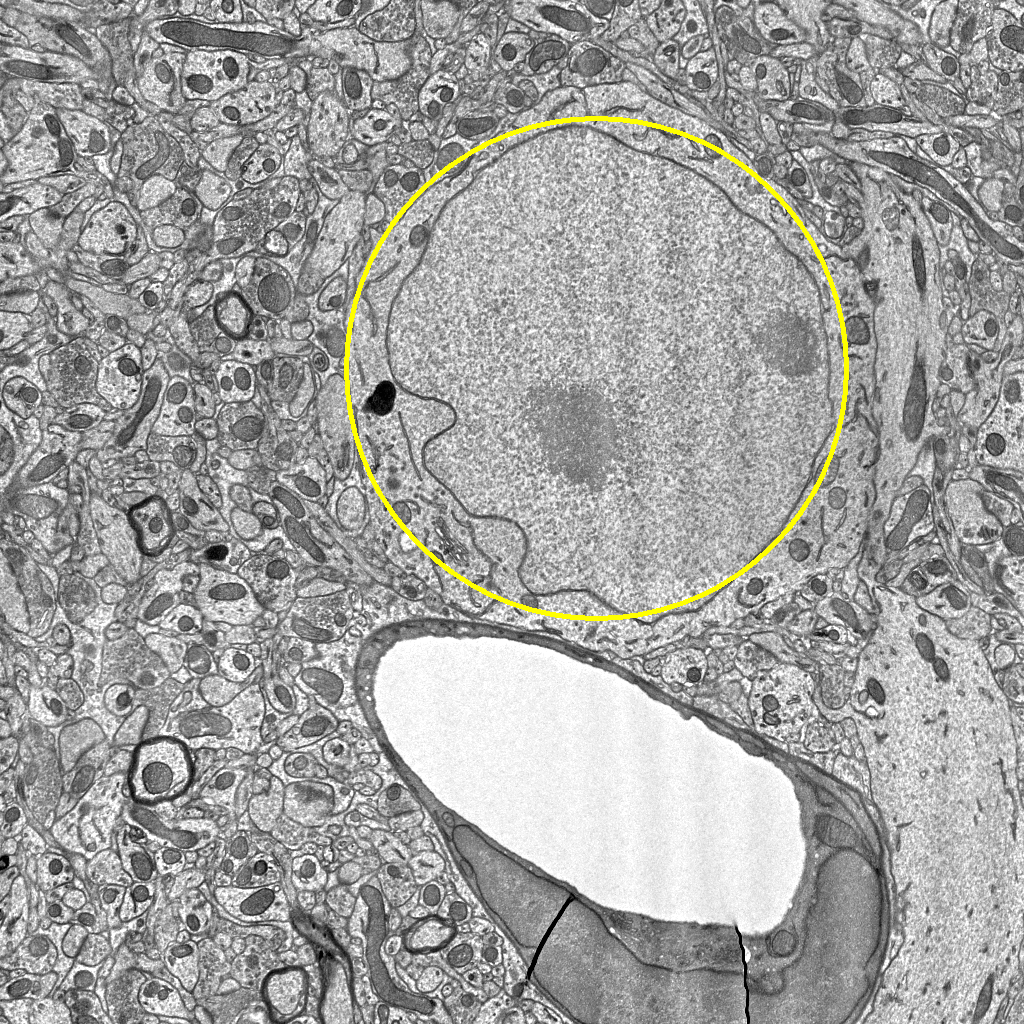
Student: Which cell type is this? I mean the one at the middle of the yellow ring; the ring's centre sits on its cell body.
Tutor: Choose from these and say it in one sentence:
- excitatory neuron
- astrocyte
The cell at the ring's centre is an excitatory neuron.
